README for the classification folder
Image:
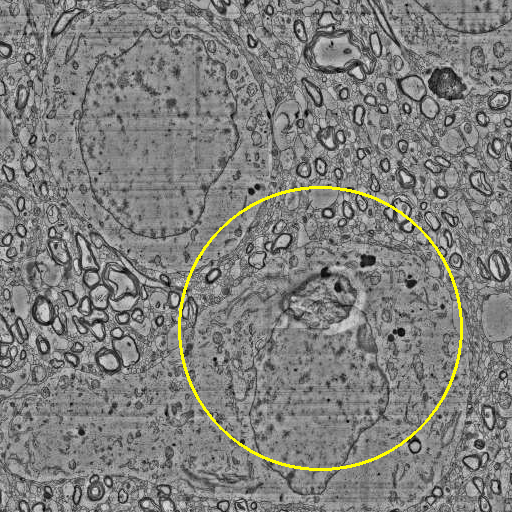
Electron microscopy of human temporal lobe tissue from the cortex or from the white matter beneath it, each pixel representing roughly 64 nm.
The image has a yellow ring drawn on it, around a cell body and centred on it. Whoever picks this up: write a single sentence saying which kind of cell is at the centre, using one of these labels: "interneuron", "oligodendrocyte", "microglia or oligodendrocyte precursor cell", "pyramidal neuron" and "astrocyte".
This cell body is that of a pyramidal neuron.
